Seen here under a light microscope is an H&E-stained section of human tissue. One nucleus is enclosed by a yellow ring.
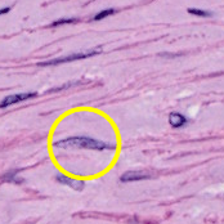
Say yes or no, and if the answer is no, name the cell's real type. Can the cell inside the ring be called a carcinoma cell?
No, it is a fibroblast.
